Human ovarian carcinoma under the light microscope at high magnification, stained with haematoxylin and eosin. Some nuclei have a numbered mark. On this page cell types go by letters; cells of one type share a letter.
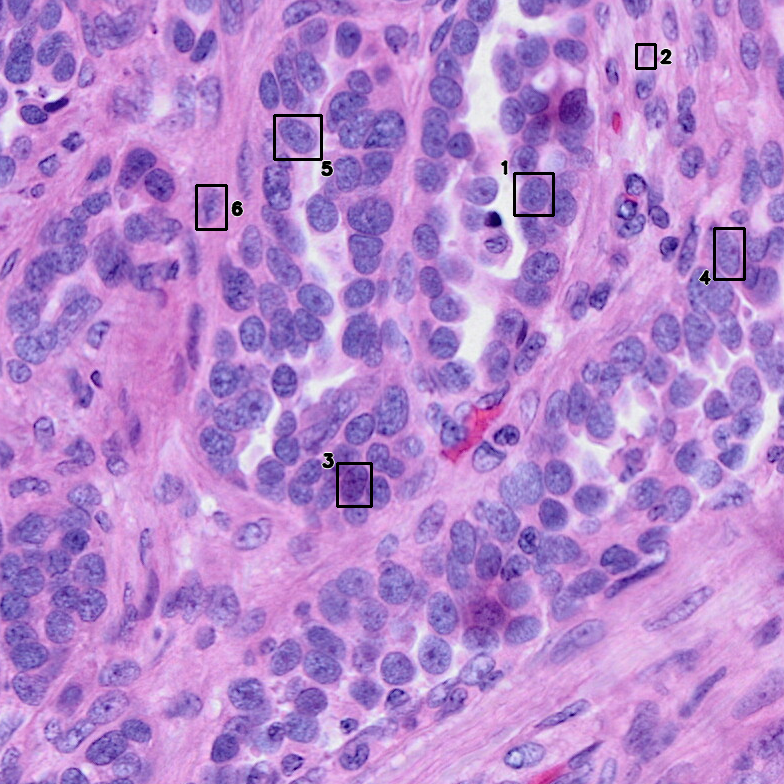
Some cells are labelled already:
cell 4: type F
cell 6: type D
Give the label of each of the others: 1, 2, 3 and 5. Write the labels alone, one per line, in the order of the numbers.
type F
type D
type F
type F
